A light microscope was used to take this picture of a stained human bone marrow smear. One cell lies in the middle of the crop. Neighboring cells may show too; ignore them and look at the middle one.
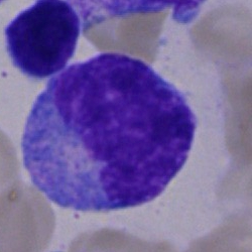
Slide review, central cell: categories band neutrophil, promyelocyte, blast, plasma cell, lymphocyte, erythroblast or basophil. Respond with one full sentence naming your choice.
At the middle of the frame sits a promyelocyte.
